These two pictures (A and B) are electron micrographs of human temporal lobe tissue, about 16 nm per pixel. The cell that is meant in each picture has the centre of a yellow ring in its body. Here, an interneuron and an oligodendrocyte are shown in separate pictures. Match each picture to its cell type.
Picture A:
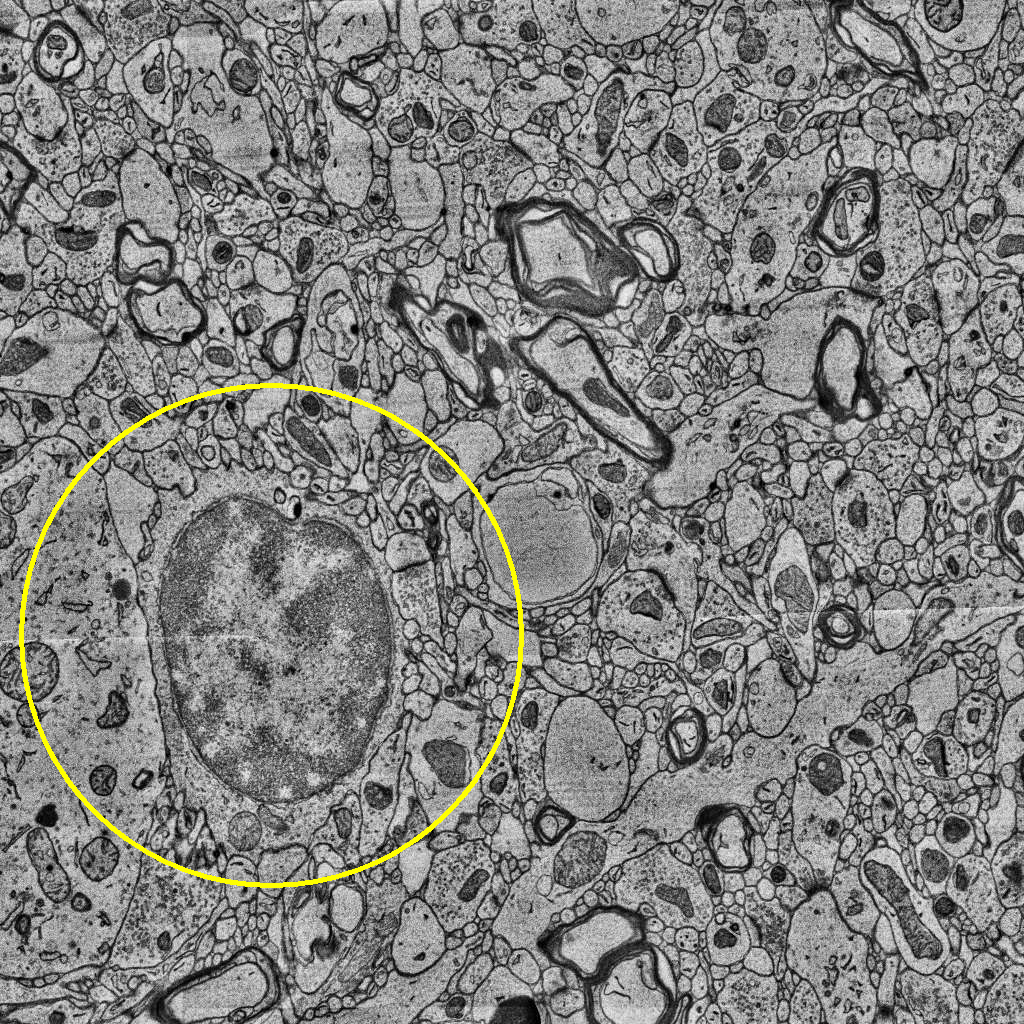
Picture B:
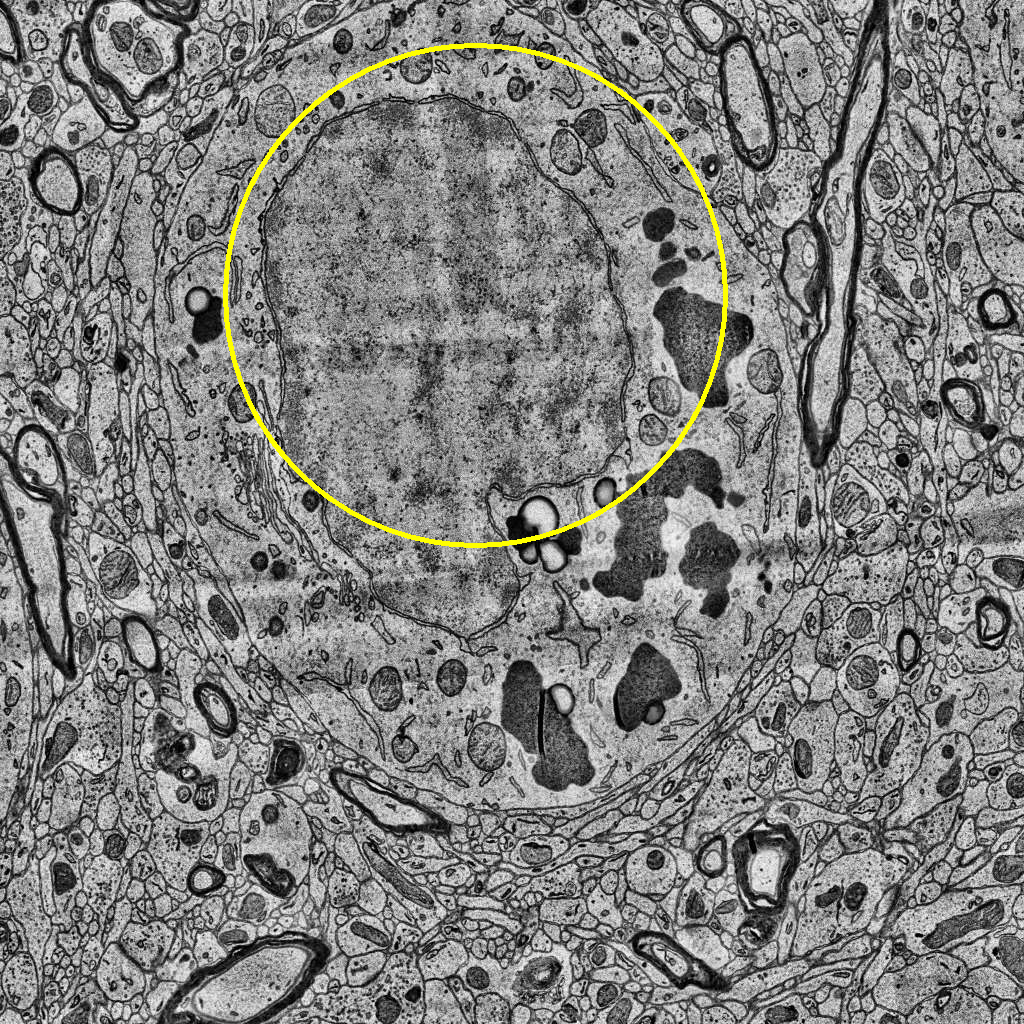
In picture A the cell is an oligodendrocyte; in picture B, an interneuron.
